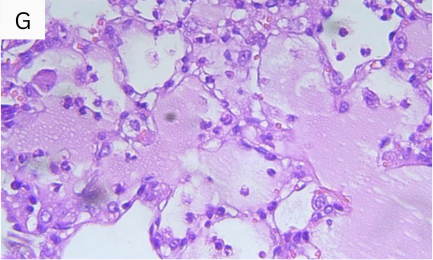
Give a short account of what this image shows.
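This is lung parenchyma in which the alveolar spaces are filled with pale pink, homogeneous fluid of oedema. Scattered rounded cells lie within or at the edges of the fluid-filled spaces.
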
